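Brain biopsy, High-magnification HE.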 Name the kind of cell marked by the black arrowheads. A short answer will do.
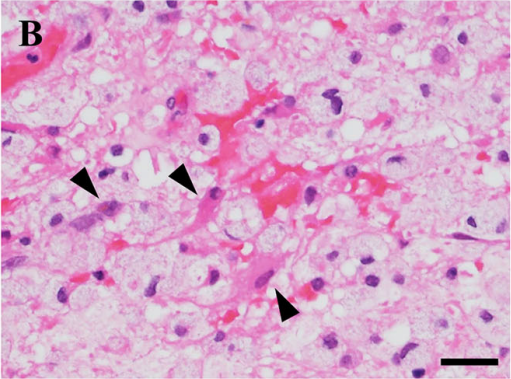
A: Reactive astrocytes.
